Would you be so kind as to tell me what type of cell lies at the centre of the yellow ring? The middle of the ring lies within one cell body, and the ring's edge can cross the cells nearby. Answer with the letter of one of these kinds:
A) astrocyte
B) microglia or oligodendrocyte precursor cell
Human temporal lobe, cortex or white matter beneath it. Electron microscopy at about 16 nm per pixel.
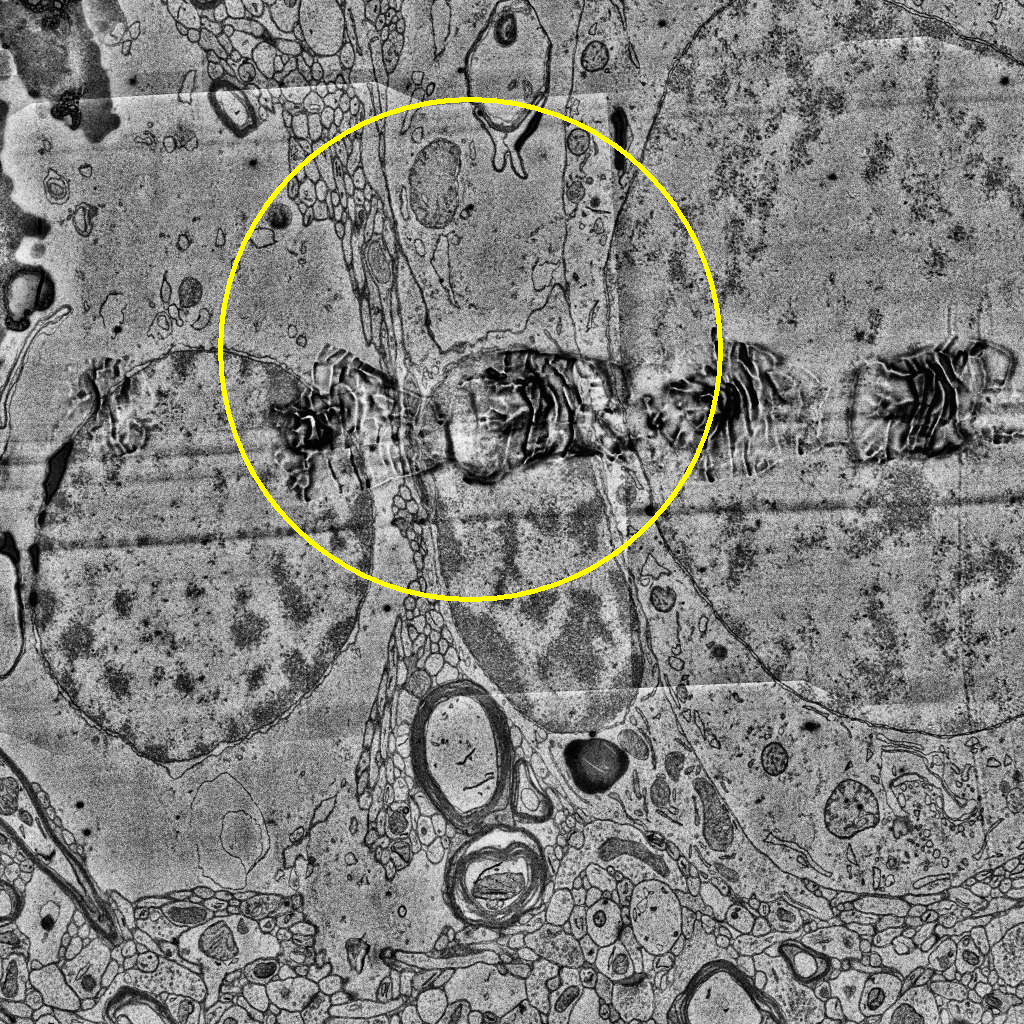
B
